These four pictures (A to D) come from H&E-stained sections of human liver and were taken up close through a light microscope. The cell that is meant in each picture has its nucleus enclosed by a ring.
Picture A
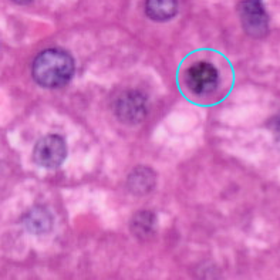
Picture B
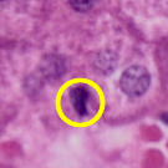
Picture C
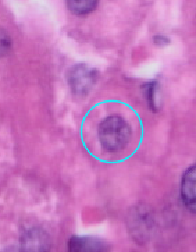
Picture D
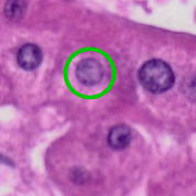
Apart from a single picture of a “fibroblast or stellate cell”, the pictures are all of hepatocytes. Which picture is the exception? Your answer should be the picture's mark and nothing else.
B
